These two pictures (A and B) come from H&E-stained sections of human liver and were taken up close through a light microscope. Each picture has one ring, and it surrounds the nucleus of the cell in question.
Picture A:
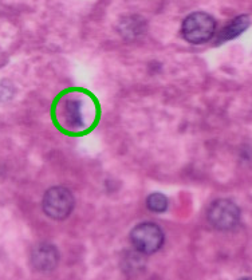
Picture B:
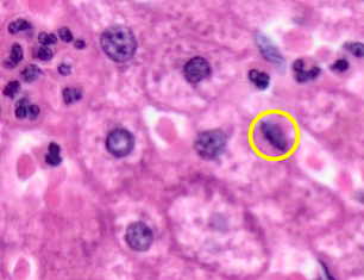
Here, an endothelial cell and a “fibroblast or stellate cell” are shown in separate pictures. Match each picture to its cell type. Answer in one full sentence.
Picture B shows a “fibroblast or stellate cell”, while picture A shows an endothelial cell.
